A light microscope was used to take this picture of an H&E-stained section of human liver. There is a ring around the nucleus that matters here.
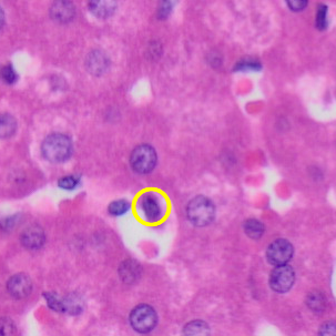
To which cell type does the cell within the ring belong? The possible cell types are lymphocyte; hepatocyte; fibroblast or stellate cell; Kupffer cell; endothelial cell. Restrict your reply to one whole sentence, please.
Right, so the cell within the ring is a Kupffer cell, to answer that.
